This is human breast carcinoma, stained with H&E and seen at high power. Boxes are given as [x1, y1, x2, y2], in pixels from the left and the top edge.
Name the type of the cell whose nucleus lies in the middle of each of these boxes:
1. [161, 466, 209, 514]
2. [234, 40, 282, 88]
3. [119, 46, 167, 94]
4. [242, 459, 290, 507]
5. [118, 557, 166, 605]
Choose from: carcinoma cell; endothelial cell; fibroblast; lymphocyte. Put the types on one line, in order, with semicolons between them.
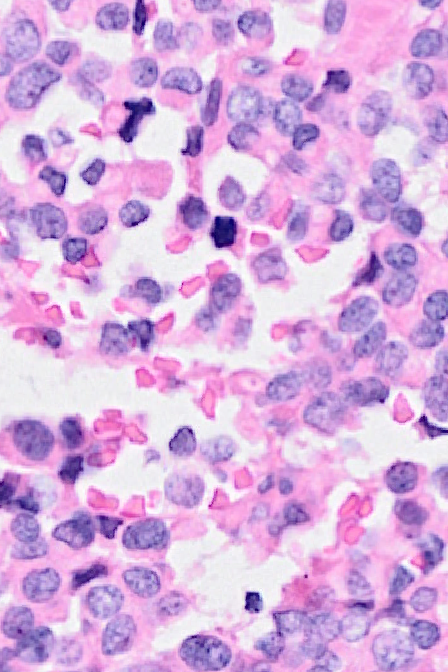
carcinoma cell; endothelial cell; carcinoma cell; endothelial cell; carcinoma cell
